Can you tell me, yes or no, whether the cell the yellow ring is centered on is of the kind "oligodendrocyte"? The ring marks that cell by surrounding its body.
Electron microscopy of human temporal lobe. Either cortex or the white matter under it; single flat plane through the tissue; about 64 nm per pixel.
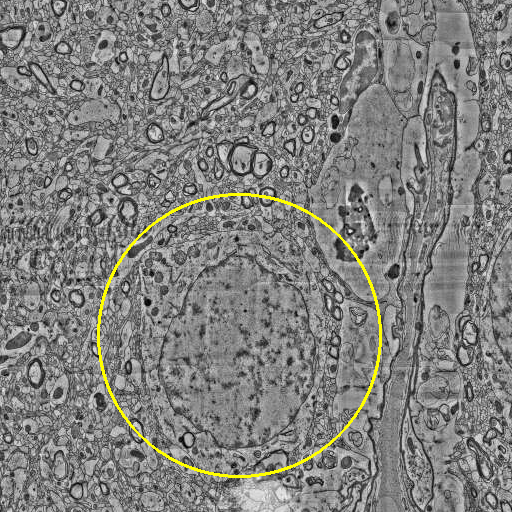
no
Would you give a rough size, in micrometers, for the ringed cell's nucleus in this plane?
The nucleus measures about 12 by 10 micrometres in this plane.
